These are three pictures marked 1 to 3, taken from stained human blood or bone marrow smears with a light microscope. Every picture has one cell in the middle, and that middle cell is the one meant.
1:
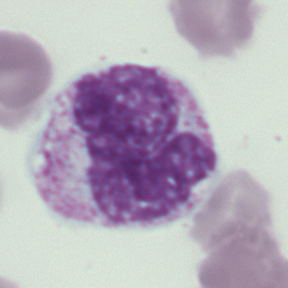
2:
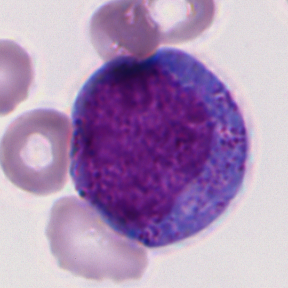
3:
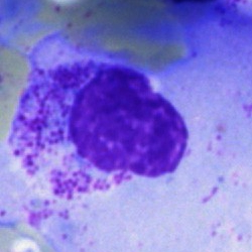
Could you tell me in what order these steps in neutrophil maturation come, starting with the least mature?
2, 3, 1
